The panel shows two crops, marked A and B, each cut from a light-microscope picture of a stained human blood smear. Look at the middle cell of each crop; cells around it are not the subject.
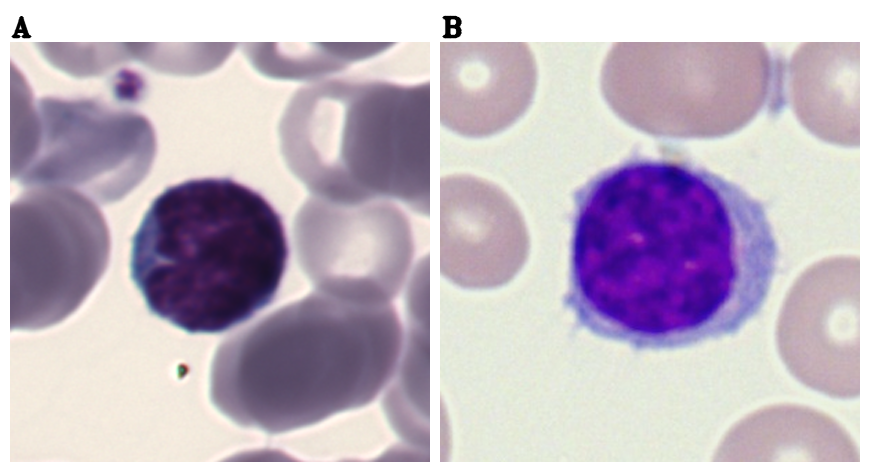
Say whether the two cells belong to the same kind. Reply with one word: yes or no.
yes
